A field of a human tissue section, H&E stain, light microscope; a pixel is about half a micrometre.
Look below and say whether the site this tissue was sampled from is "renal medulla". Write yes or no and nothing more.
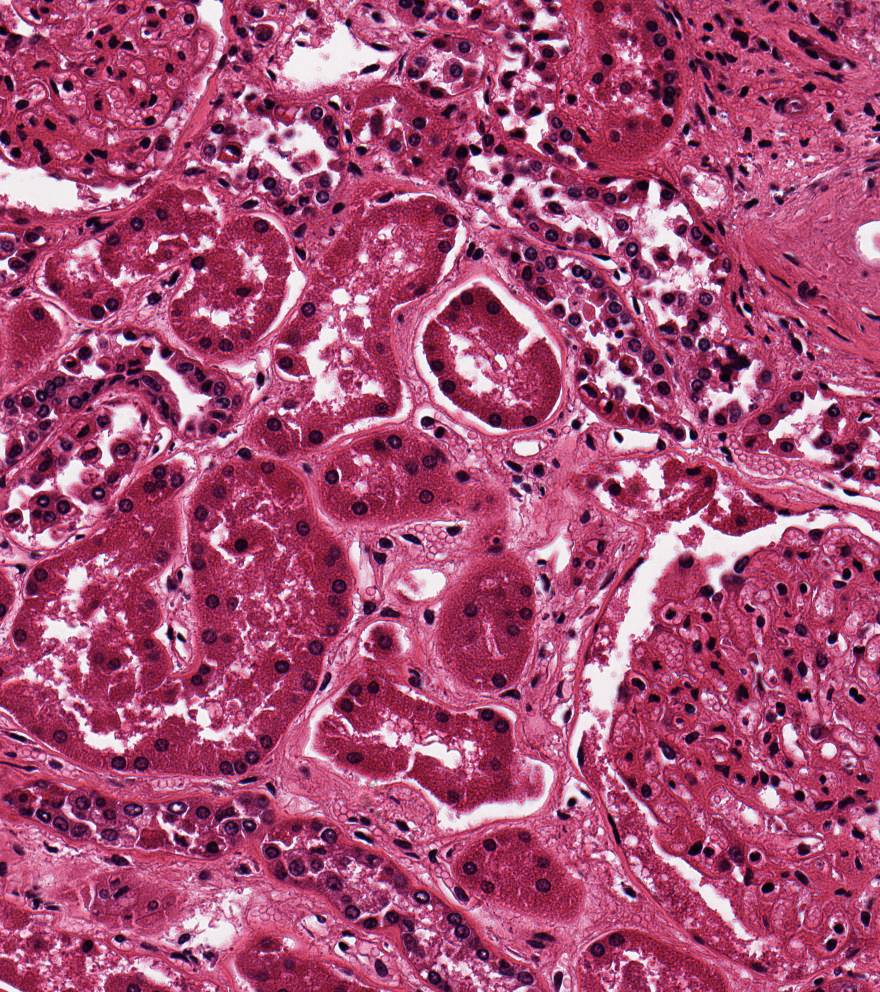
no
